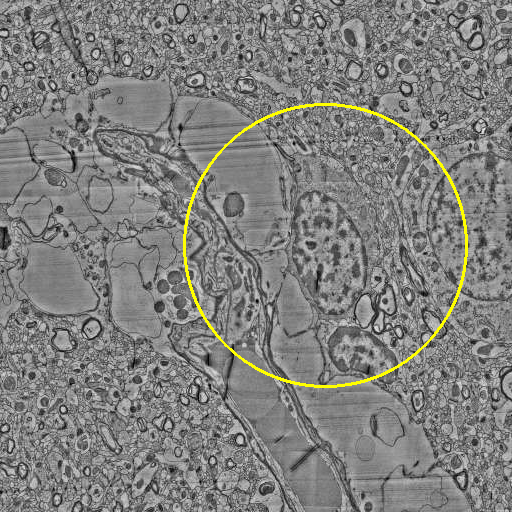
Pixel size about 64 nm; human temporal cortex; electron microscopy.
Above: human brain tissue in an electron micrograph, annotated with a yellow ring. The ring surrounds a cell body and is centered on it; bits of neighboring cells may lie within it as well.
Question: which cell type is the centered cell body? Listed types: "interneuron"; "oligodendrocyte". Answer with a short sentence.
The centered cell body is an oligodendrocyte.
